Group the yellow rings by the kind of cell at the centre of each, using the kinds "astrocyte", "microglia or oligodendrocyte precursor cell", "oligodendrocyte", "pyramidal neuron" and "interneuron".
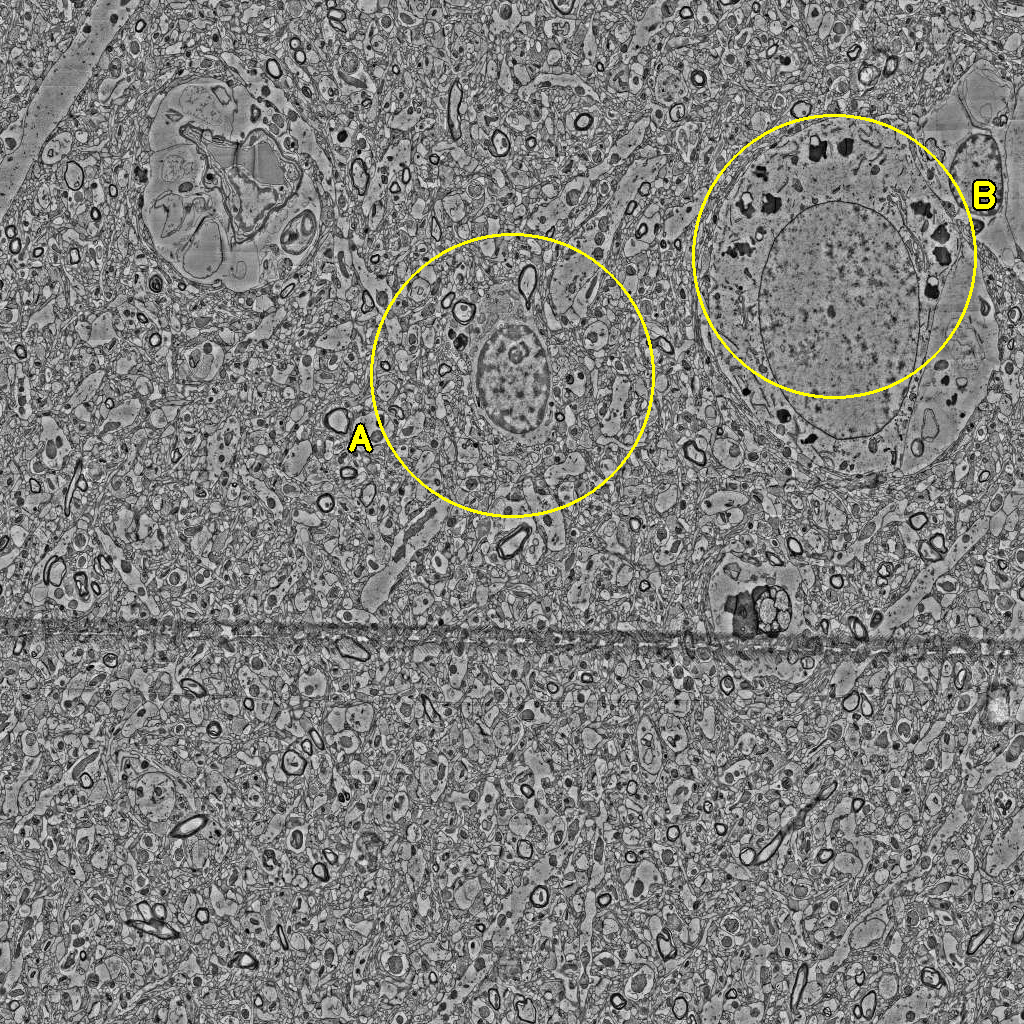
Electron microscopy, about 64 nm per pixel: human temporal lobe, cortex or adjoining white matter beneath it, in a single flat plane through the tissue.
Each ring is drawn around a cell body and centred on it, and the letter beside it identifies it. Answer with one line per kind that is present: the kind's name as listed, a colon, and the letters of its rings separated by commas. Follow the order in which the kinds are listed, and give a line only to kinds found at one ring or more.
oligodendrocyte: A
pyramidal neuron: B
